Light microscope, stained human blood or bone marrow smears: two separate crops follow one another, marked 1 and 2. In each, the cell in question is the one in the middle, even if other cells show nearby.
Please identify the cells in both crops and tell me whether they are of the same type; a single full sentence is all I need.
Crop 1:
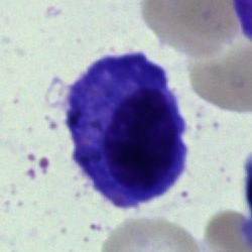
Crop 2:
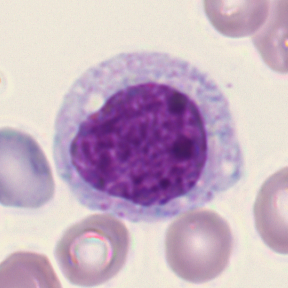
No; crop 1 is a plasma cell, while crop 2 is a myelocyte.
